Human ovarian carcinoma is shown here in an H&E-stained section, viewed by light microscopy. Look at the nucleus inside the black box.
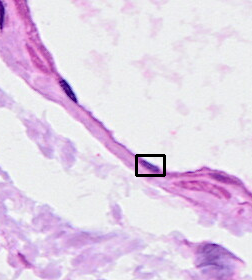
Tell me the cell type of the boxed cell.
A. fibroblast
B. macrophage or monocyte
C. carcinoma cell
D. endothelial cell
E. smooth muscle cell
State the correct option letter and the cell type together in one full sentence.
Settle on option D; the boxed cell is an endothelial cell.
